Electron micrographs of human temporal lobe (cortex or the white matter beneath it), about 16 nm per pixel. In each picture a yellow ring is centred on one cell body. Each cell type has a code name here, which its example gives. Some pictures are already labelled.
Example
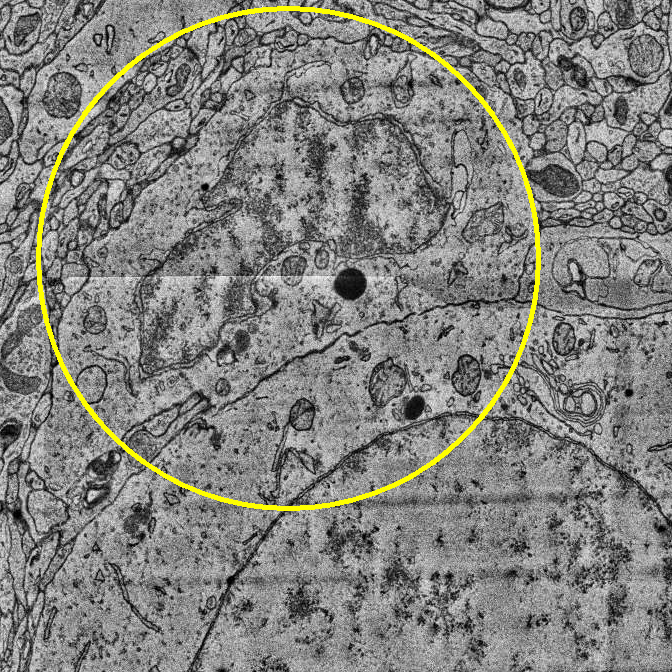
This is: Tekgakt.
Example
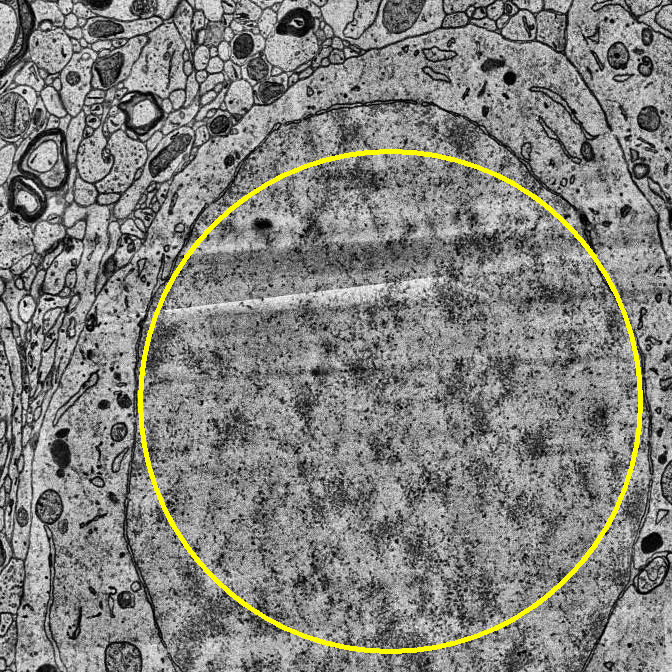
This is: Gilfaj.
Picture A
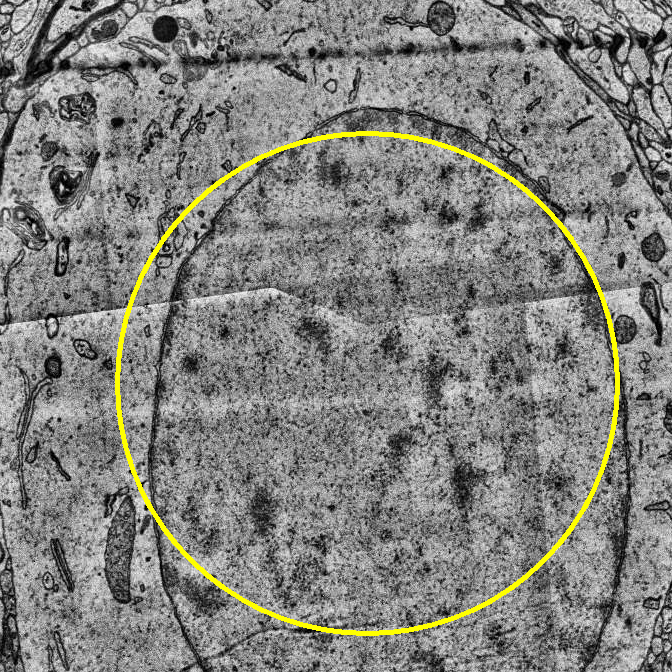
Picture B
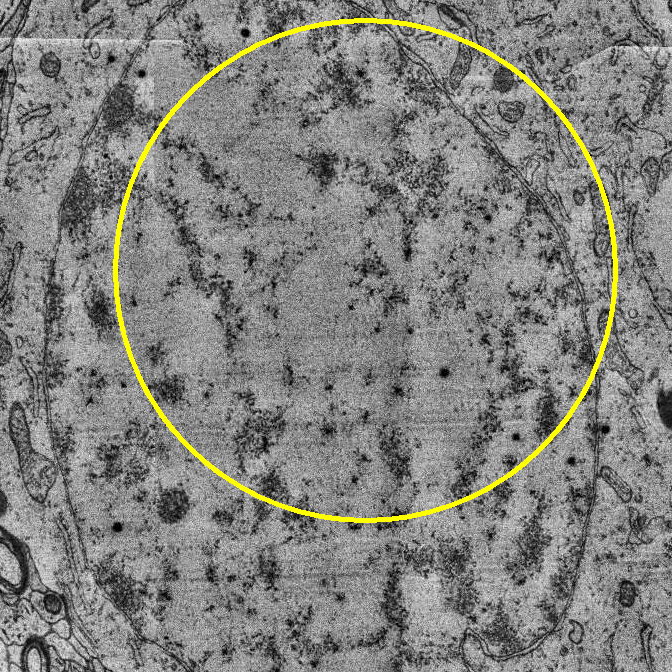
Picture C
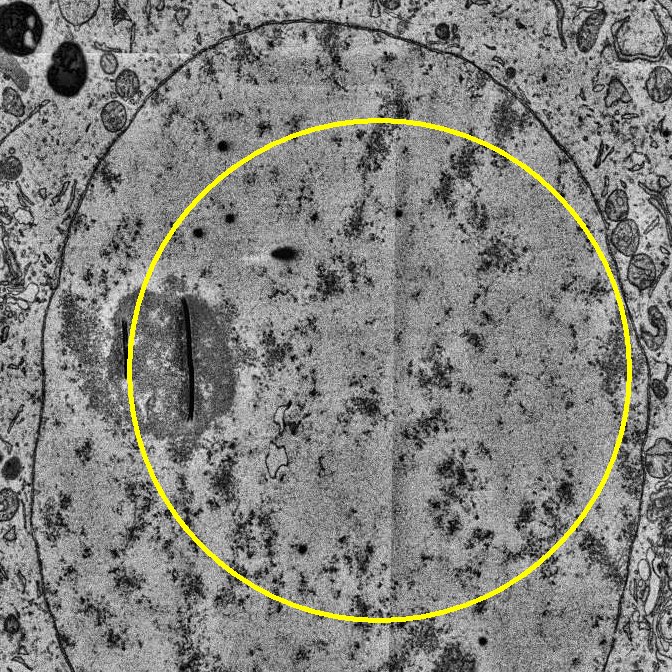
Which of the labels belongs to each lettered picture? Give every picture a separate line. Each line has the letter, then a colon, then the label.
A: Gilfaj.
B: Tekgakt.
C: Gilfaj.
